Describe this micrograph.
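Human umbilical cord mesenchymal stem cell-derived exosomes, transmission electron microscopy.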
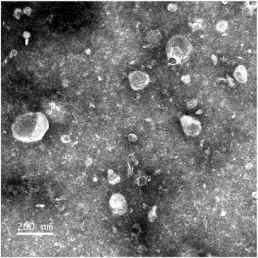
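The vesicles vary in size, most being smaller than the 200 nm scale bar, and several appear cup-shaped or slightly collapsed, with a paler rim and a darker or more textured center. They lie singly or in loose groups, without any surrounding cell structure.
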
